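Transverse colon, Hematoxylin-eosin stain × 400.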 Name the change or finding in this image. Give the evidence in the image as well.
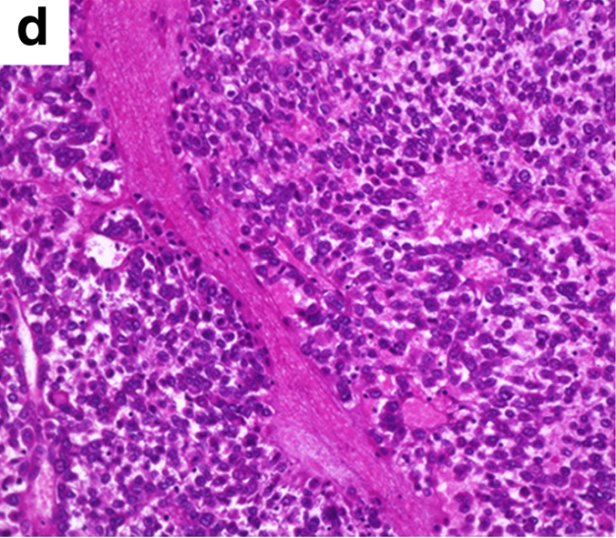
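Tumor cells with high nucleo to cytoplasmic ratio and poor binding. Crowded cells with large, dark purple nuclei and only a thin rim of cytoplasm. Many cells lie singly and loosely, not joined into glands or tight sheets. A pink band of fibrous tissue runs diagonally between the sheets of cells.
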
